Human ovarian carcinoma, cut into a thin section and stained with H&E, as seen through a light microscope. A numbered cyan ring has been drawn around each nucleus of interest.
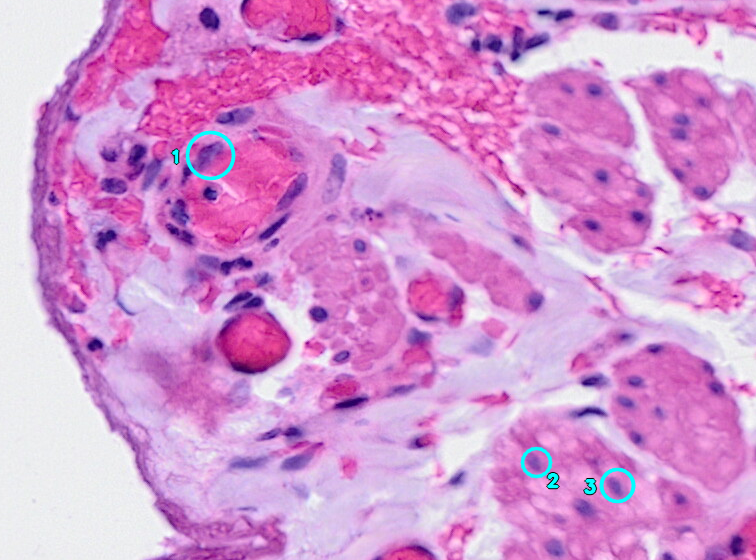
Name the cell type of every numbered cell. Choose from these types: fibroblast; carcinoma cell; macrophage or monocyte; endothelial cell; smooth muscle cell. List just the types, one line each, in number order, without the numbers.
endothelial cell
smooth muscle cell
smooth muscle cell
